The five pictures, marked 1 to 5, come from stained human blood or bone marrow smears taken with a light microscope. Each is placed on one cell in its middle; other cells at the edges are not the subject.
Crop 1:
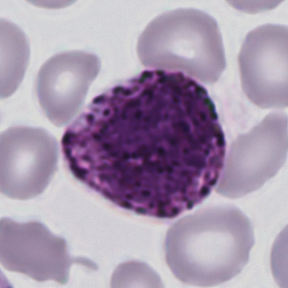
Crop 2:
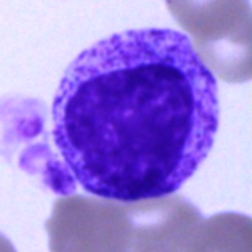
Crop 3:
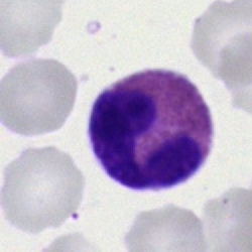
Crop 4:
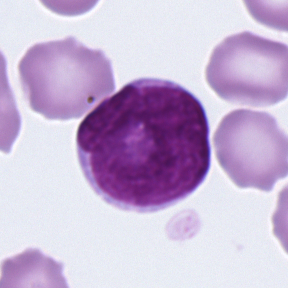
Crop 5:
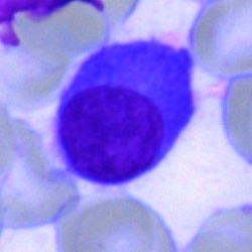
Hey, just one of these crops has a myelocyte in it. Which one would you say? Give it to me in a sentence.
The one crop that shows a myelocyte is crop 2.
